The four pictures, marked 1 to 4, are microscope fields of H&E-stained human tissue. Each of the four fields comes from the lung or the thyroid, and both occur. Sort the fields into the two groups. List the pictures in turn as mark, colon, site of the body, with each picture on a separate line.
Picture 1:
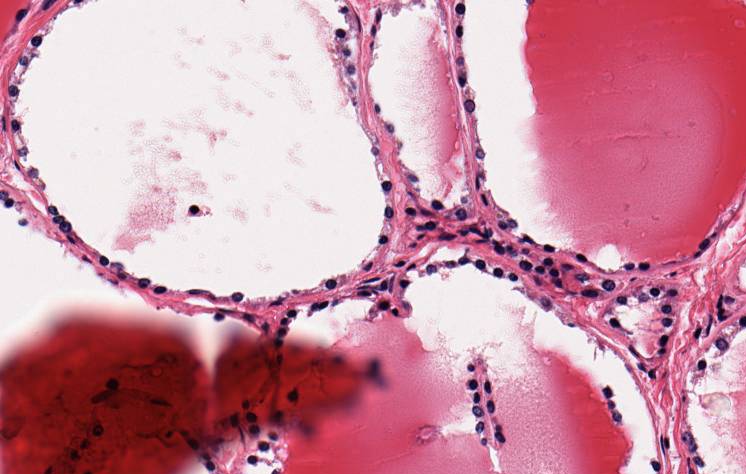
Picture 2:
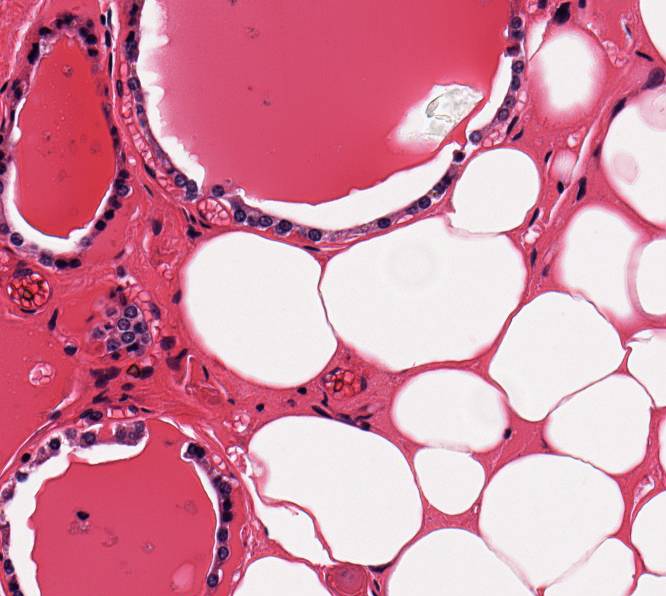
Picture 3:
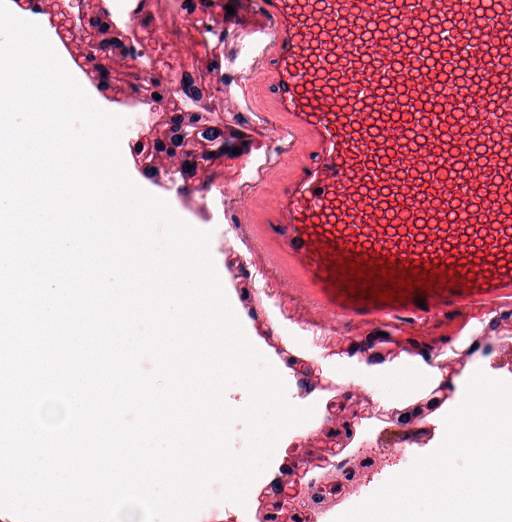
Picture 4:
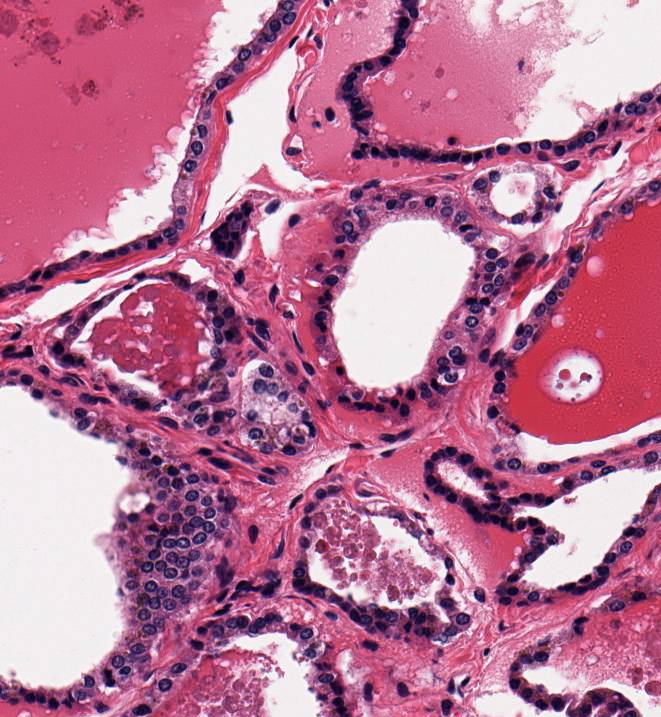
1: thyroid
2: thyroid
3: lung
4: thyroid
